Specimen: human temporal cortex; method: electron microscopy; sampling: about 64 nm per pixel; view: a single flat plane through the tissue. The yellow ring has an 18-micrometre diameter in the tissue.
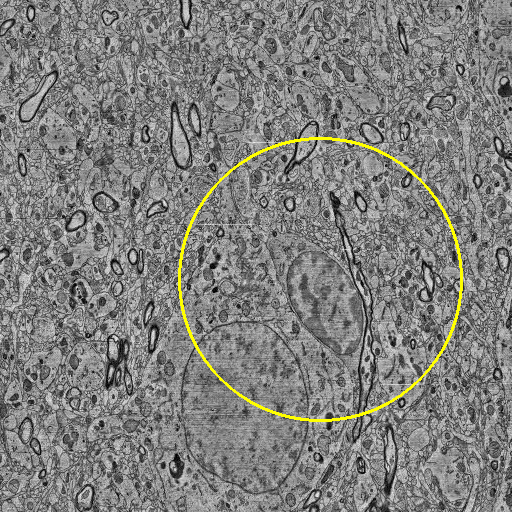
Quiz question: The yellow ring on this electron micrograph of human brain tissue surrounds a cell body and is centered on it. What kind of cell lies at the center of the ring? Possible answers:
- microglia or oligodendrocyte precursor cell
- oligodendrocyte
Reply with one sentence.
The ring's center lies on an oligodendrocyte.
